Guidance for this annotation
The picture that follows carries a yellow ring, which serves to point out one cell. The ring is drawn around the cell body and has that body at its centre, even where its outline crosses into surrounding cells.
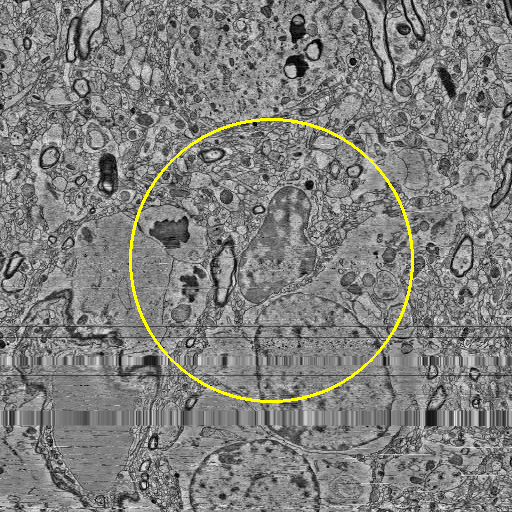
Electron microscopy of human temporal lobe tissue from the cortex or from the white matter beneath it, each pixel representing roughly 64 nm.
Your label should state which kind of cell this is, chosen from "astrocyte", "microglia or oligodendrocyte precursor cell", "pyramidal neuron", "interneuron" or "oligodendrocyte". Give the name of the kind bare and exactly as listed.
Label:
microglia or oligodendrocyte precursor cell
